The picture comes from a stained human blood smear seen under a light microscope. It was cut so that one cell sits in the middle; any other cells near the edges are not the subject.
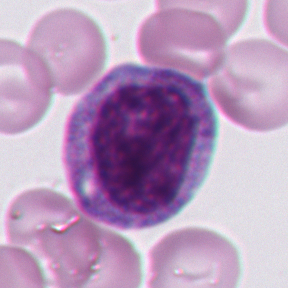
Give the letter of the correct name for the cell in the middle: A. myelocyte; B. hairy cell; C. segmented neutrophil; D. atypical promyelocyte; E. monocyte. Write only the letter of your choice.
A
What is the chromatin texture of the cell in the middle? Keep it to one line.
What stands out is chromatin that is coarsely clumped.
